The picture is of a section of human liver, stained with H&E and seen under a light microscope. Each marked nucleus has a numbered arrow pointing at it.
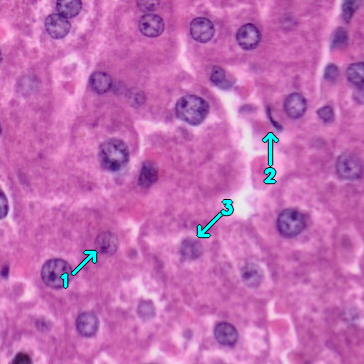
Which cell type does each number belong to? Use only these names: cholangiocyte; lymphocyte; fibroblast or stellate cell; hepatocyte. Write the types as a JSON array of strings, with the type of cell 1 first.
["hepatocyte", "fibroblast or stellate cell", "hepatocyte"]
